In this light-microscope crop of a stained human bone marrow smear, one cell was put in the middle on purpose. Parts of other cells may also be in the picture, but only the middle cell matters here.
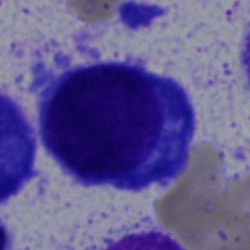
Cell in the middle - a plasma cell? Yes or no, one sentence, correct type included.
Yes, the cell right in the middle is a plasma cell.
